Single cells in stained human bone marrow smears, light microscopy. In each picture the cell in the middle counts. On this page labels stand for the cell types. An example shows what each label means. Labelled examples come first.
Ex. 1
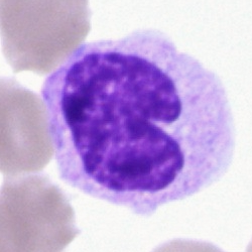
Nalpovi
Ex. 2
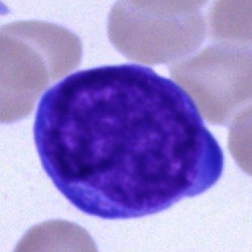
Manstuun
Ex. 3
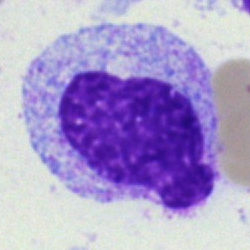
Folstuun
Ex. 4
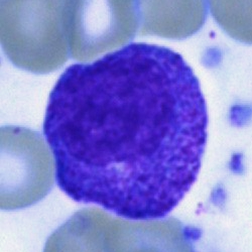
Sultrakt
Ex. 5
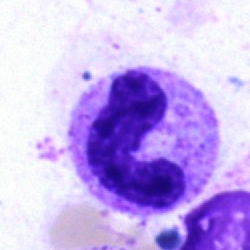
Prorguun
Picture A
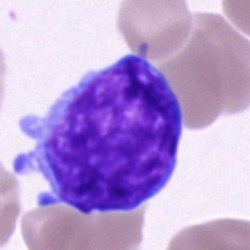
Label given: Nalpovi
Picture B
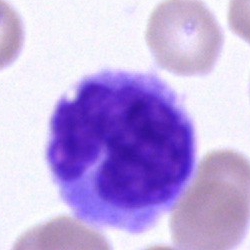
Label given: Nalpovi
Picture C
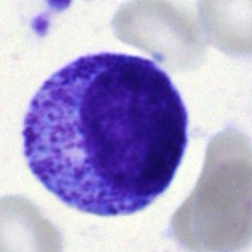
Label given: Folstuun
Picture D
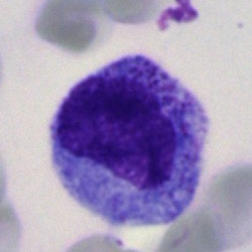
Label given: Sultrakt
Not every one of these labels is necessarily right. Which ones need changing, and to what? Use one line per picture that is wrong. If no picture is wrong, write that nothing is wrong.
A: Manstuun, not Nalpovi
